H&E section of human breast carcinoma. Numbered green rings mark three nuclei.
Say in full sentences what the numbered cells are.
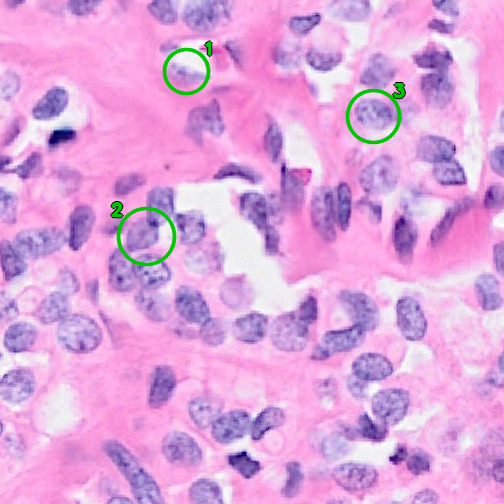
Cell 1 is an endothelial cell. Cells 2 and 3 are carcinoma cells.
